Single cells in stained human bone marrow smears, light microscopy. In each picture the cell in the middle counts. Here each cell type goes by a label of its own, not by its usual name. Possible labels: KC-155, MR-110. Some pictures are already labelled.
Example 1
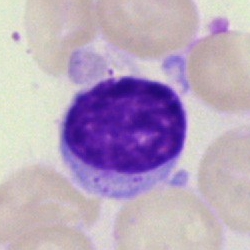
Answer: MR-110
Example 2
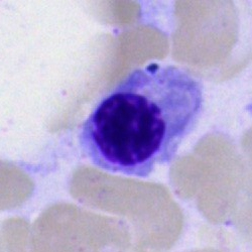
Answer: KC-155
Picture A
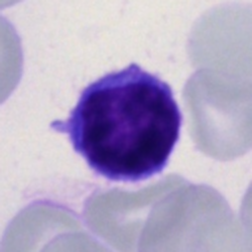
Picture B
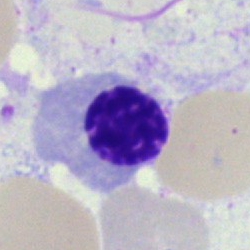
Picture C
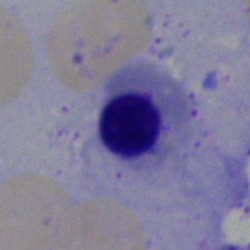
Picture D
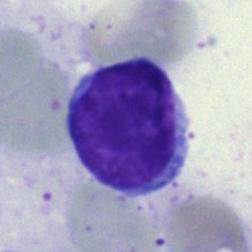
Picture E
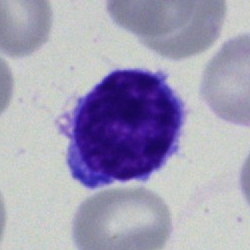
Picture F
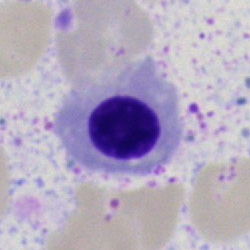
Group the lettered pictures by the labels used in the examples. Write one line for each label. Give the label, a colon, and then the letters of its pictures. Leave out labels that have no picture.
KC-155: B, C, F
MR-110: A, D, E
